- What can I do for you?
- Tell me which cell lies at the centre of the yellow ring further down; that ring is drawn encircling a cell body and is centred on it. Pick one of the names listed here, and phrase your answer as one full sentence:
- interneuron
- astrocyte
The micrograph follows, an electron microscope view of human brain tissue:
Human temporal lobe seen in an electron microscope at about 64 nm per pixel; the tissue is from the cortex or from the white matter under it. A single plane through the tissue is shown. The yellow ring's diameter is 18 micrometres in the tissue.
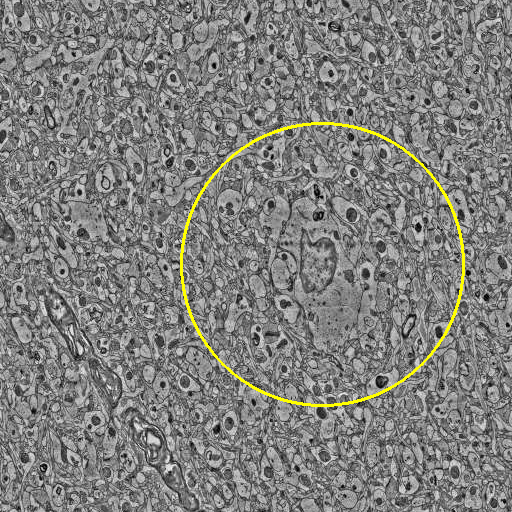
The cell whose body lies at the centre of the yellow ring is an interneuron.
